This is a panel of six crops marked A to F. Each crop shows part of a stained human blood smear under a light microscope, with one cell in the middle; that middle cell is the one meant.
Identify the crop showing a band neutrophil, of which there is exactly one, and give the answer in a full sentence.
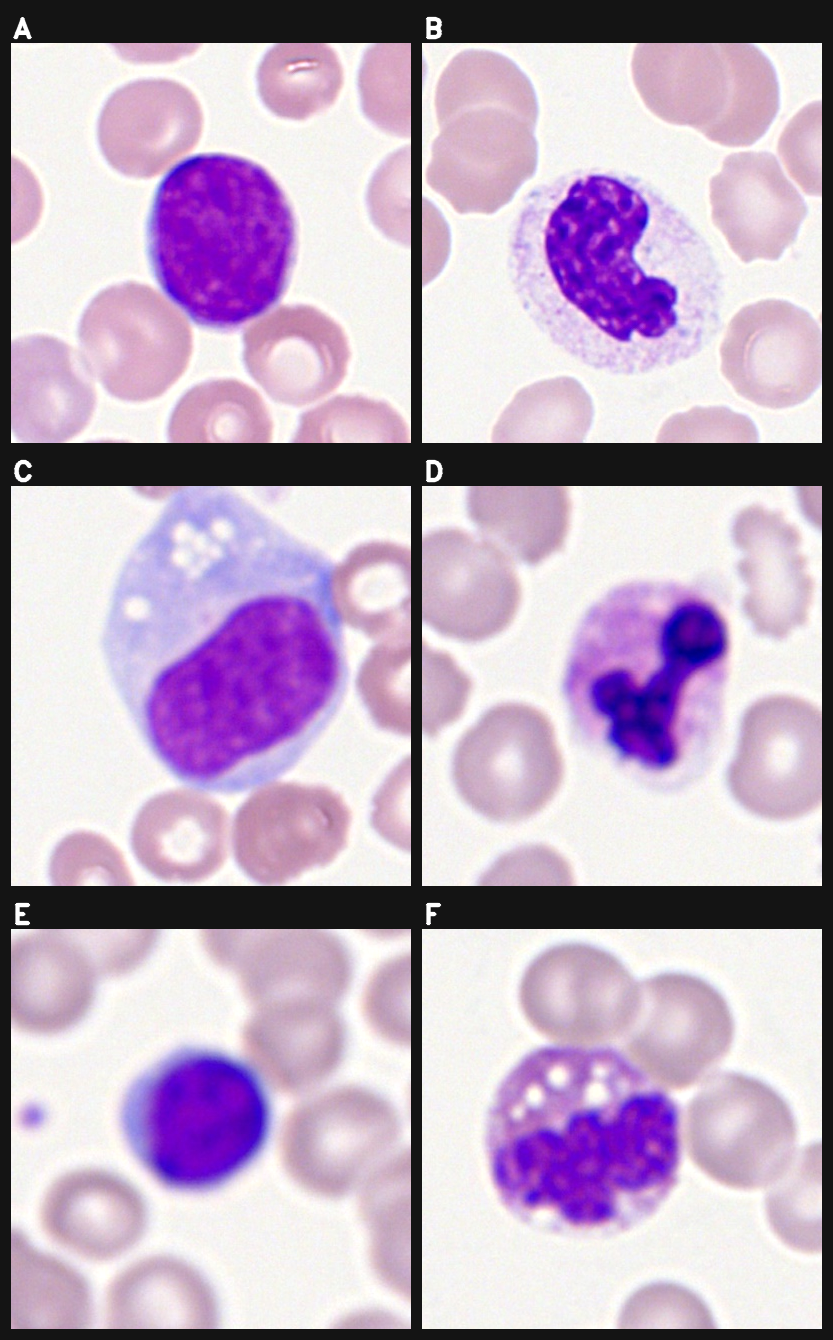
Crop B is the crop whose central cell is a band neutrophil.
